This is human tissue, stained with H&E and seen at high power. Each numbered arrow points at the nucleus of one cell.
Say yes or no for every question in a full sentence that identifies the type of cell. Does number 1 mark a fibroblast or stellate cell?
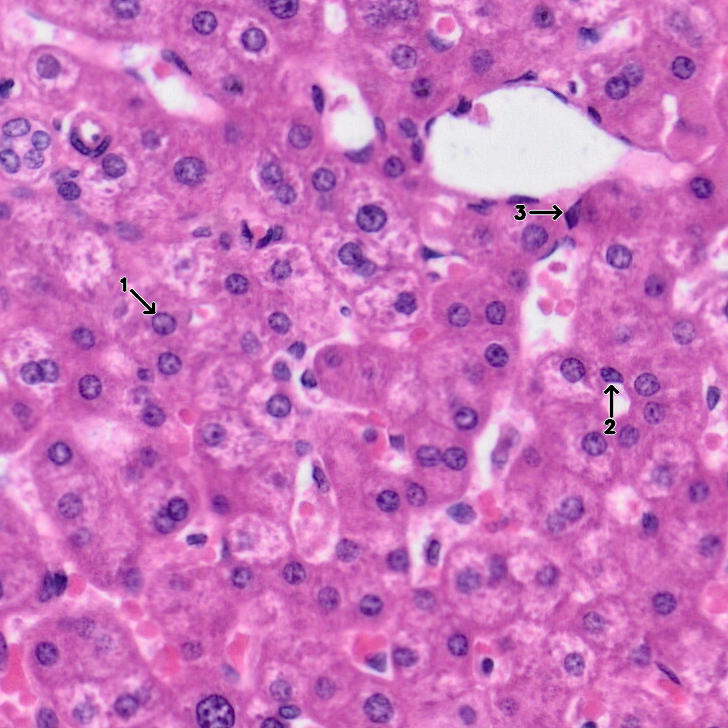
No, it is not a fibroblast or stellate cell that bears number 1 but a hepatocyte.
